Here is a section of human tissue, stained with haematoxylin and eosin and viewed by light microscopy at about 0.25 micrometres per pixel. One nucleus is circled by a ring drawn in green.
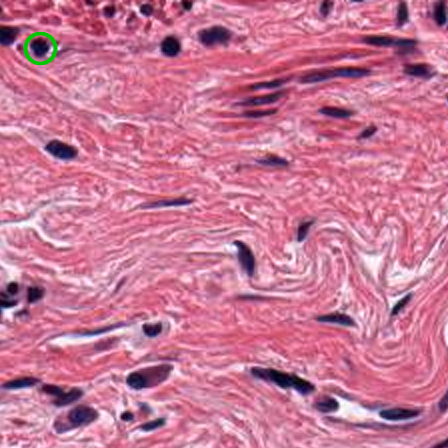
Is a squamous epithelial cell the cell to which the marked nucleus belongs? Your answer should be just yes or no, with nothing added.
no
